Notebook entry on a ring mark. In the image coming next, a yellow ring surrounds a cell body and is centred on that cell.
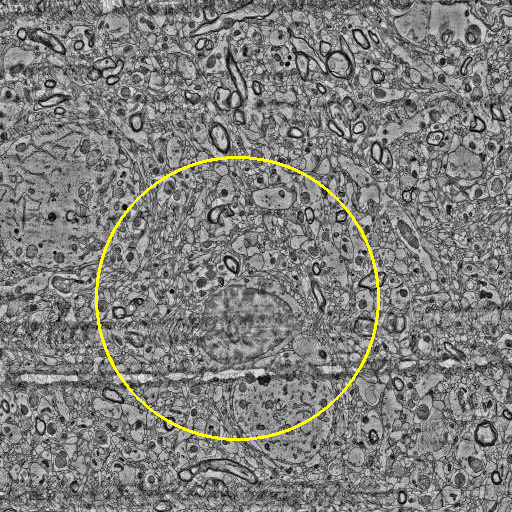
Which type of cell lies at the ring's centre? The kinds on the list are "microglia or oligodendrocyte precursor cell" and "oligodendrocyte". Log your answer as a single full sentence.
Centred in the yellow ring is an oligodendrocyte, the cell recorded for this image.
